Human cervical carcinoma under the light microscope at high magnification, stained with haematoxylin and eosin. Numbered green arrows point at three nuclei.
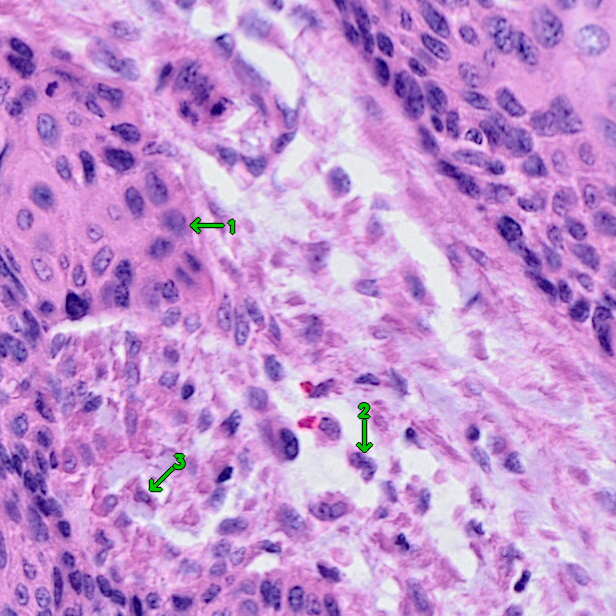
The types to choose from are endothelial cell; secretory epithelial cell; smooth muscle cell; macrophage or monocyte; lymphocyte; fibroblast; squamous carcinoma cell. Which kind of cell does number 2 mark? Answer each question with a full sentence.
Cell 2 in the field of view is a macrophage or monocyte.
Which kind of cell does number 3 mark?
The cell bearing label 3 corresponds to a fibroblast.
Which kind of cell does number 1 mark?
The cell marked with the number 1 is a squamous carcinoma cell.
